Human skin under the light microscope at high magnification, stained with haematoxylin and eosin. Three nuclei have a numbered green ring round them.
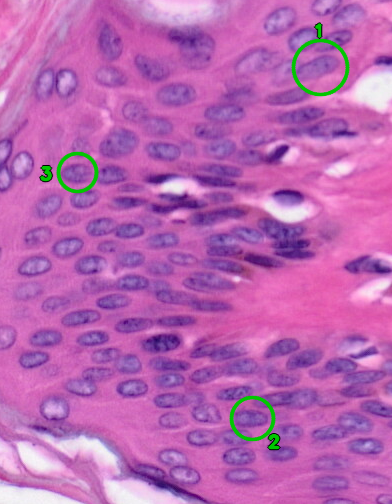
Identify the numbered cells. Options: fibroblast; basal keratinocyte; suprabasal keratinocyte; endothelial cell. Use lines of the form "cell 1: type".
cell 1: basal keratinocyte
cell 2: suprabasal keratinocyte
cell 3: suprabasal keratinocyte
